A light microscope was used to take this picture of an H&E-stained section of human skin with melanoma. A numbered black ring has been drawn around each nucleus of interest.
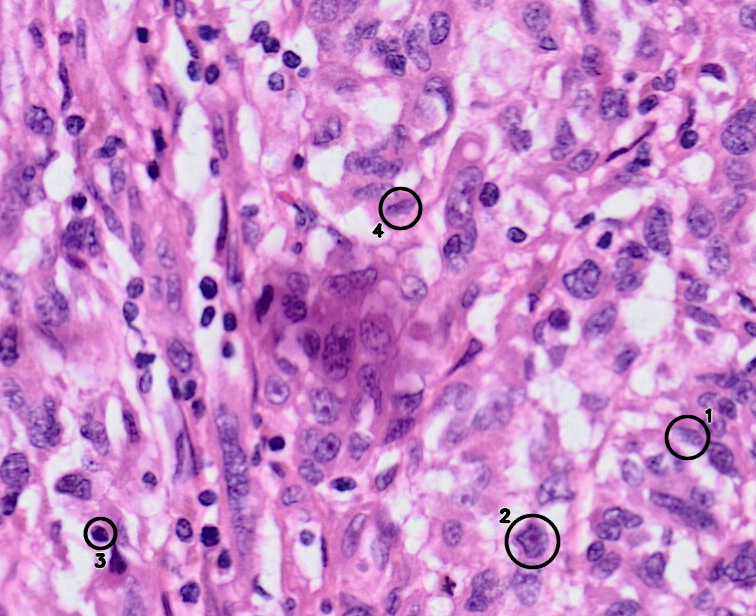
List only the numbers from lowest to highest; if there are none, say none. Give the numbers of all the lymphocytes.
3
